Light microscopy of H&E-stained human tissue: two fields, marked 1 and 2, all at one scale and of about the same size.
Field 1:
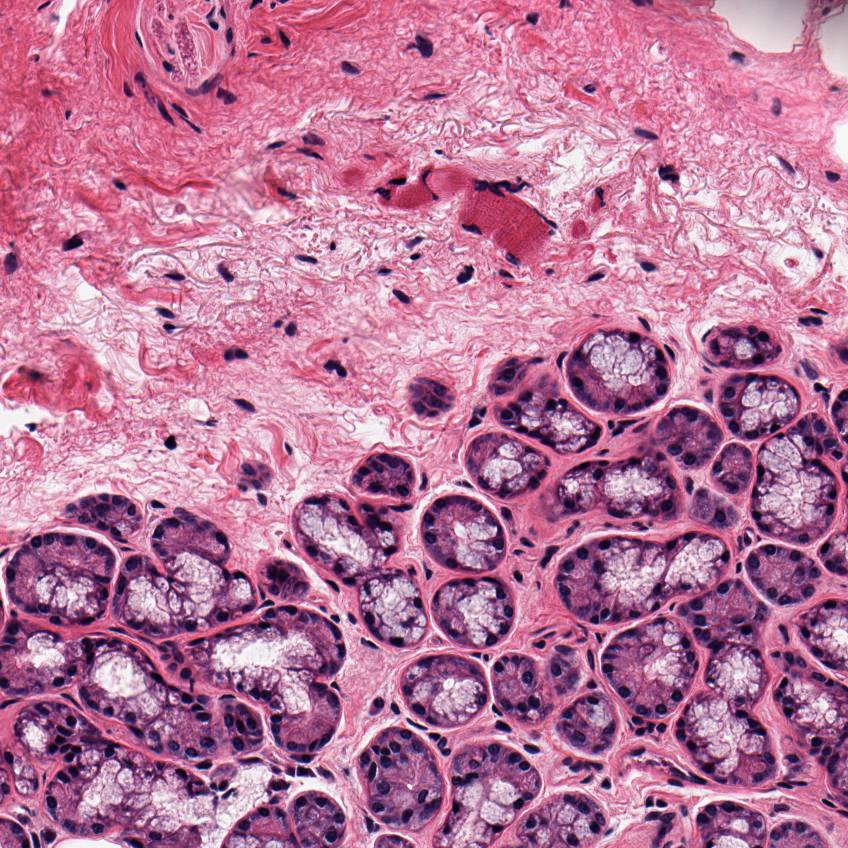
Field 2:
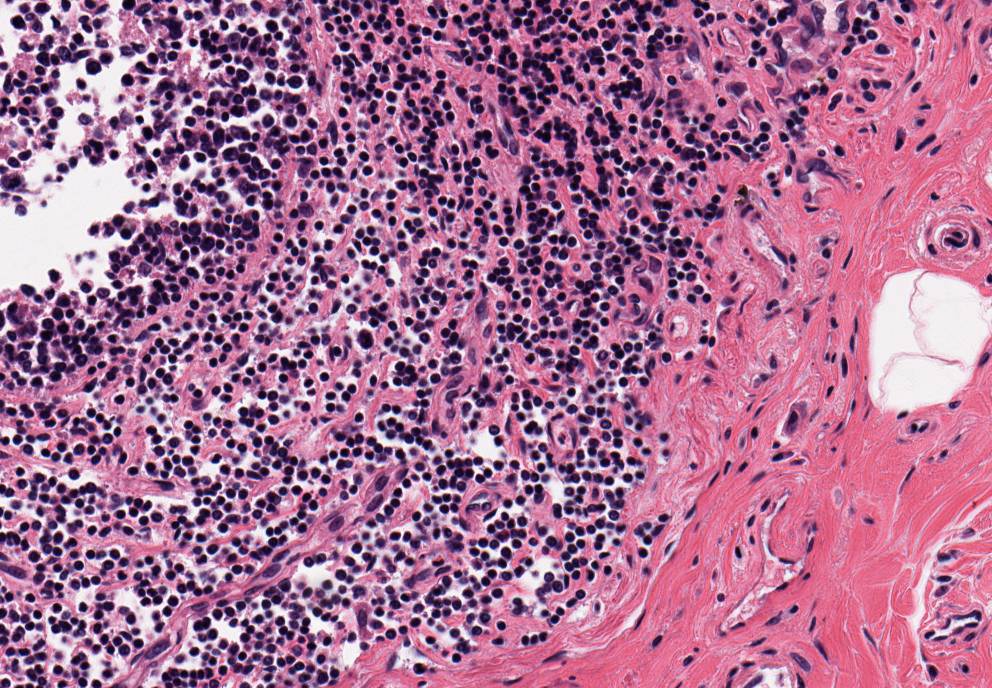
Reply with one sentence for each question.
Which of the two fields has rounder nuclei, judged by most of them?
On the whole the nuclei of field 2 are rounder than those of field 1.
